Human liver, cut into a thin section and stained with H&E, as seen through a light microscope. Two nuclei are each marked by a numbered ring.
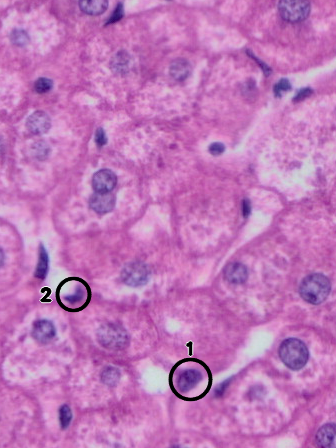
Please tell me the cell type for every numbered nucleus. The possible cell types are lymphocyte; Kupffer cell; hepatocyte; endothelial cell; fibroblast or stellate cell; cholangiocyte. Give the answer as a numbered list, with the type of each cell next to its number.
1. Kupffer cell
2. endothelial cell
